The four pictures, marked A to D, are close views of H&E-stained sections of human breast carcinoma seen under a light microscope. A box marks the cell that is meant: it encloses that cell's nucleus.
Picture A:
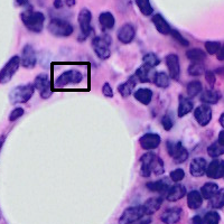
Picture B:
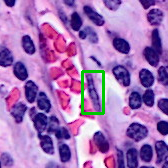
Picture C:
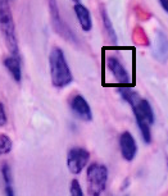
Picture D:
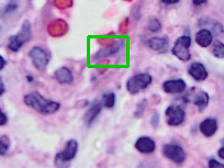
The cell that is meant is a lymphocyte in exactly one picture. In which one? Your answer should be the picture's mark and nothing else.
A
